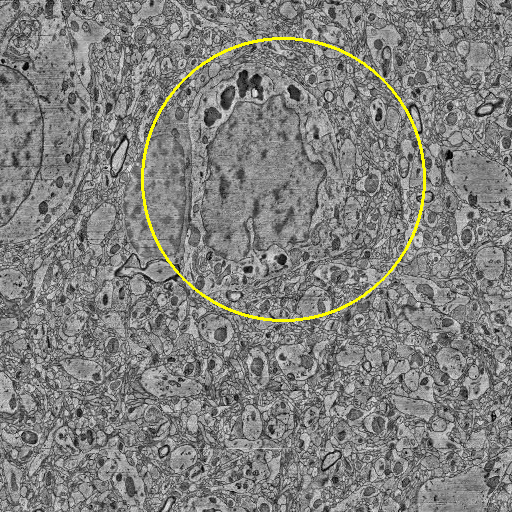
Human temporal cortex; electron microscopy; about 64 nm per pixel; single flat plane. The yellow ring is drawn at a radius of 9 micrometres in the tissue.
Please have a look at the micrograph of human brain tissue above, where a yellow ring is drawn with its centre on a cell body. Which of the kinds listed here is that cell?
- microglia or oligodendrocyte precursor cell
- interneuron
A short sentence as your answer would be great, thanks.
At the centre of the ring sits an interneuron.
